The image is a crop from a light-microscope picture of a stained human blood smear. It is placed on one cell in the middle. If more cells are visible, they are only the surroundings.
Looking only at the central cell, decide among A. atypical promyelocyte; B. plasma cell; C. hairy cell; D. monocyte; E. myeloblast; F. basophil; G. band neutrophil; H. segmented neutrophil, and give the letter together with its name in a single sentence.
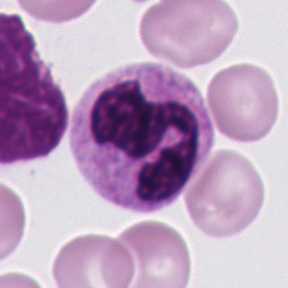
The correct response is option H, naming the cell in the middle as a segmented neutrophil.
